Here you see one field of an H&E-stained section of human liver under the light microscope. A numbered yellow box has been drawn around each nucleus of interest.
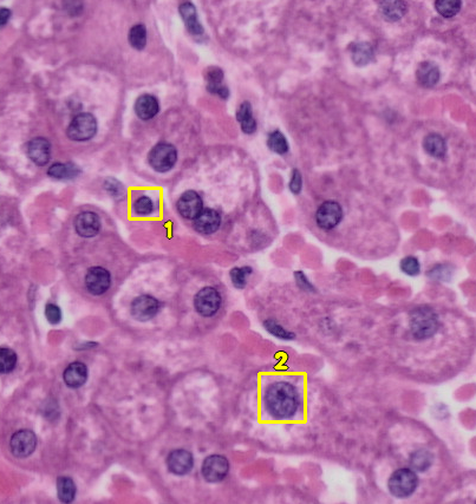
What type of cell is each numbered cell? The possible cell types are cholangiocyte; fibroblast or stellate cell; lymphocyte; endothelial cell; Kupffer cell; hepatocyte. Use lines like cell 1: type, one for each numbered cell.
cell 1: lymphocyte
cell 2: hepatocyte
